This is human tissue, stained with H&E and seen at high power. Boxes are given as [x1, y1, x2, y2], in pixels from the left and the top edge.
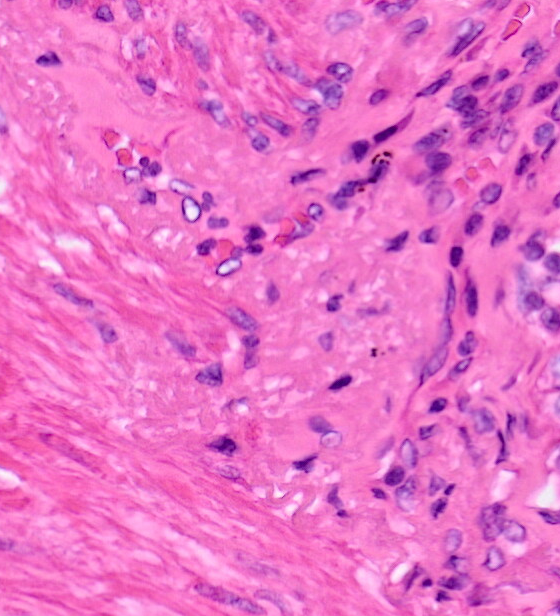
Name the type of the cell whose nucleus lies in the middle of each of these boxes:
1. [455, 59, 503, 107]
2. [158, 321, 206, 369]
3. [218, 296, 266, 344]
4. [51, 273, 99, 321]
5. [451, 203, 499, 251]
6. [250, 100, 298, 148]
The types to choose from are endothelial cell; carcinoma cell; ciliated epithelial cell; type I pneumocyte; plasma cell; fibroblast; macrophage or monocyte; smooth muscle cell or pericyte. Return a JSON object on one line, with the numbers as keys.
{"1": "plasma cell", "2": "smooth muscle cell or pericyte", "3": "smooth muscle cell or pericyte", "4": "smooth muscle cell or pericyte", "5": "plasma cell", "6": "smooth muscle cell or pericyte"}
